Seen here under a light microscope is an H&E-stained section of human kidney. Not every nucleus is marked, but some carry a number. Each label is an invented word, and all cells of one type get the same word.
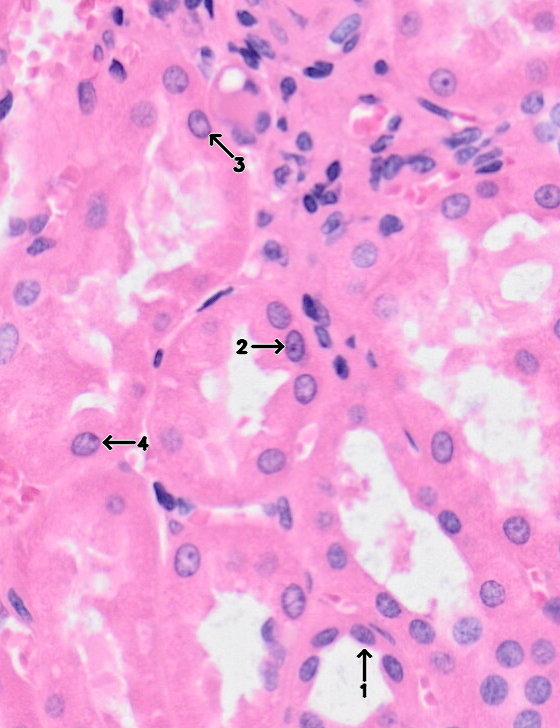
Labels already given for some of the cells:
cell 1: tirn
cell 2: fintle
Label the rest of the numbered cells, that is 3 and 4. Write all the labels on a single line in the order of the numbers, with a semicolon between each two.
fintle; fintle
